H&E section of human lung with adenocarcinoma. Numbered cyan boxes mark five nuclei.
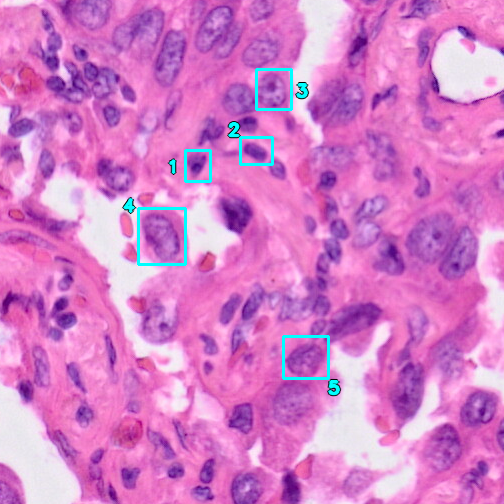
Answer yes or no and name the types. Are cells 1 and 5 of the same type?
No, cell 1 is a lymphocyte; cell 5 is a carcinoma cell.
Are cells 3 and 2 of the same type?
No, cell 2 is a lymphocyte, while cell 3 is a carcinoma cell.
